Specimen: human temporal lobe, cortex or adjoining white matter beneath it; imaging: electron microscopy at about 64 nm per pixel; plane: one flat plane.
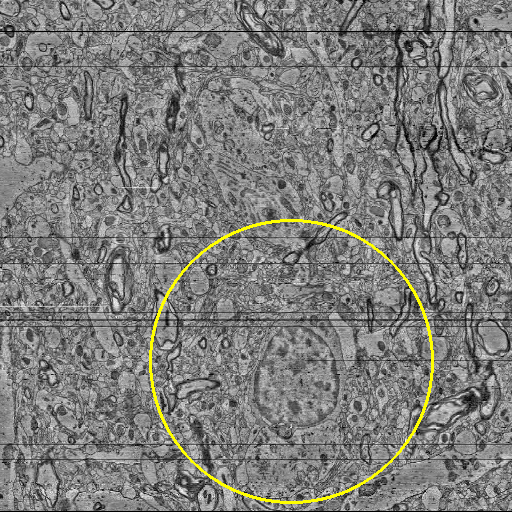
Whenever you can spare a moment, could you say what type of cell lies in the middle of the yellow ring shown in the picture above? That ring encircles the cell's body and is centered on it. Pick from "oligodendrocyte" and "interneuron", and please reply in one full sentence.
The cell whose body sits at the middle of the yellow ring is an oligodendrocyte.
